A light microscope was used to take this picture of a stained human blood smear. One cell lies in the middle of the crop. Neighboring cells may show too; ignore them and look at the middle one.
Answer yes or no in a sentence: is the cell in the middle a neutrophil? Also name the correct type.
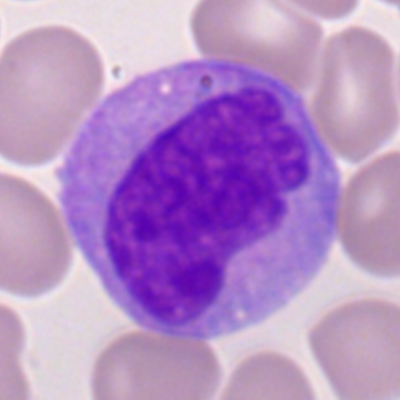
No, that is not a neutrophil; the middle cell is a monocyte.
